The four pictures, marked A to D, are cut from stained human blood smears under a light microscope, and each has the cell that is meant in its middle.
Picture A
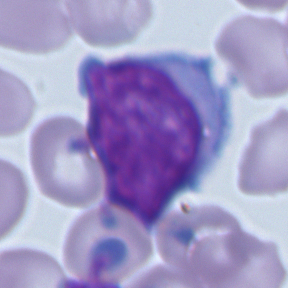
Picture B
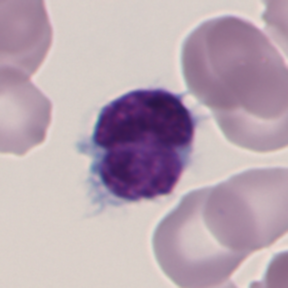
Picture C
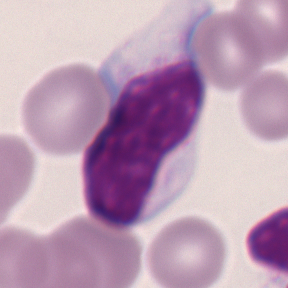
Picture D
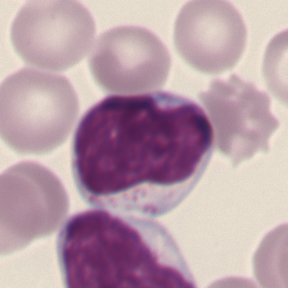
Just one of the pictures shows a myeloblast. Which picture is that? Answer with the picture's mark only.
A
